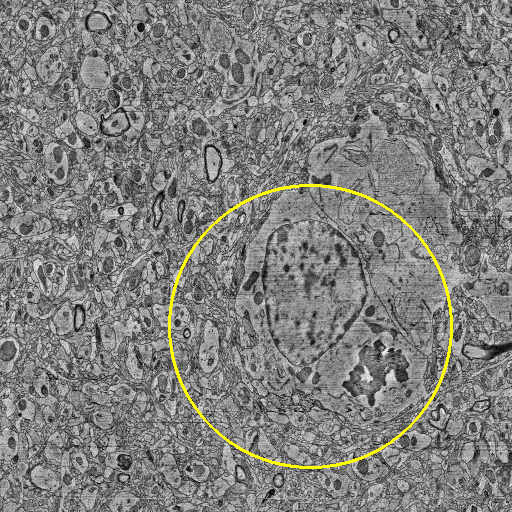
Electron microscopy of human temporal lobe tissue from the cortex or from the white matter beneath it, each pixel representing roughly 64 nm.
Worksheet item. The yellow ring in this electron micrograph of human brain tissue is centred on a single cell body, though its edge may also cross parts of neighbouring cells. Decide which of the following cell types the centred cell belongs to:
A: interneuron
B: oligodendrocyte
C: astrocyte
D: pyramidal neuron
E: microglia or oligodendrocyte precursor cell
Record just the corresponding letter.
C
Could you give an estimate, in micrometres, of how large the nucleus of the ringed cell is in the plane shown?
In this plane the nucleus measures roughly 10 by 7 micrometers.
